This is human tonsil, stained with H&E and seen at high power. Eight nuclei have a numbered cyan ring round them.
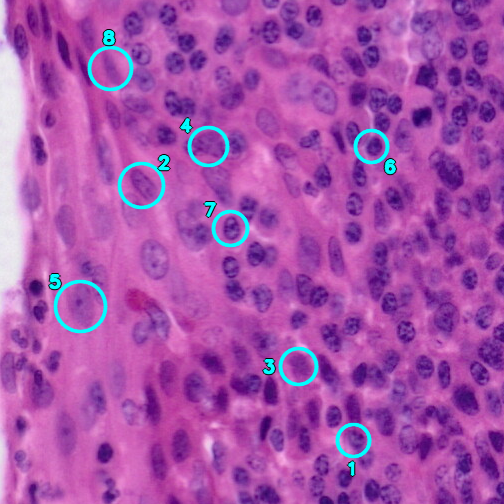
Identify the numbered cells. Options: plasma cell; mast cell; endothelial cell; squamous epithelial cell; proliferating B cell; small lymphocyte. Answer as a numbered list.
1. plasma cell
2. squamous epithelial cell
3. squamous epithelial cell
4. squamous epithelial cell
5. squamous epithelial cell
6. plasma cell
7. plasma cell
8. squamous epithelial cell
